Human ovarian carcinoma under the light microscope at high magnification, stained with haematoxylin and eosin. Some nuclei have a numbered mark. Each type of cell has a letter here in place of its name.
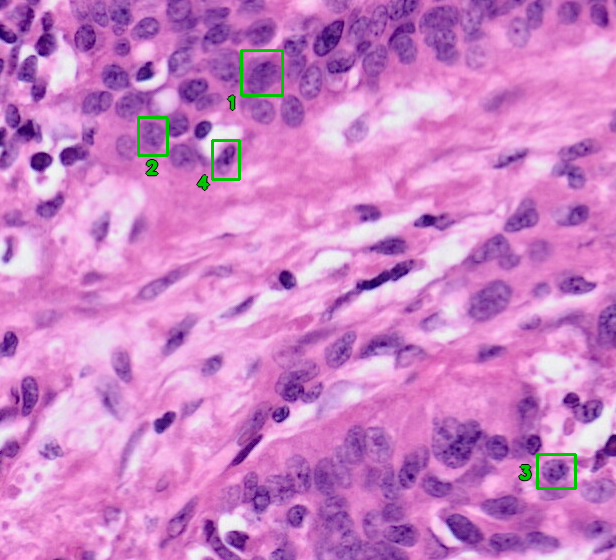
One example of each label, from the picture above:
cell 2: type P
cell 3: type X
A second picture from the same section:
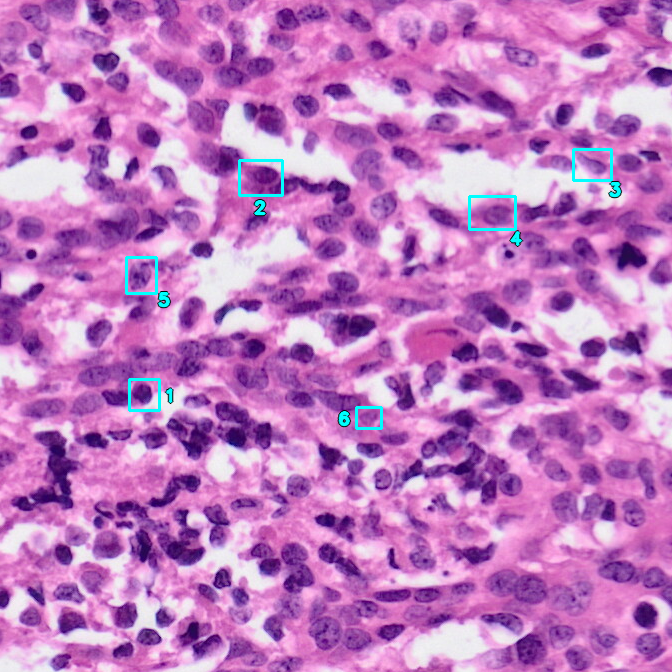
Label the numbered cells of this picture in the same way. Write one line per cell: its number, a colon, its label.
1: type P
2: type P
3: type X
4: type P
5: type X
6: type P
